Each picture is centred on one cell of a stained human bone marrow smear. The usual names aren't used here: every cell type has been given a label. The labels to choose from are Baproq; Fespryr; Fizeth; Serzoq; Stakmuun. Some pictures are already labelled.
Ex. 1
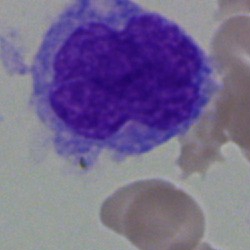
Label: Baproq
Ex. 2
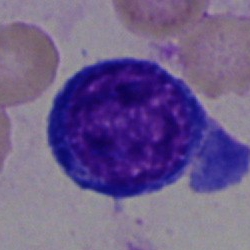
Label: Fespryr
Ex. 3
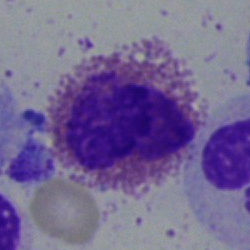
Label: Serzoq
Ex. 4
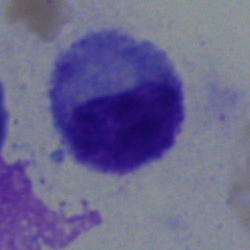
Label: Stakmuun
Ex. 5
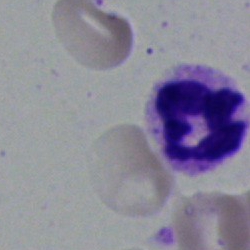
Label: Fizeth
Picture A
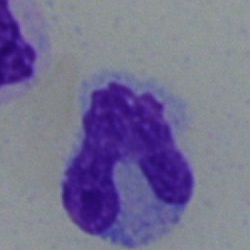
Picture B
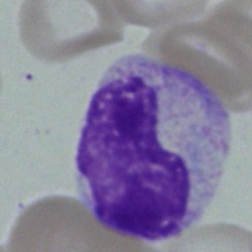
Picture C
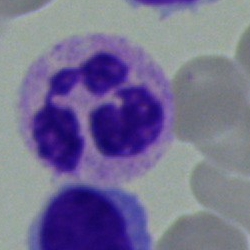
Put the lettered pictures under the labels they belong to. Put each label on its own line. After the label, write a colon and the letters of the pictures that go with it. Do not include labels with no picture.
Baproq: A
Fizeth: C
Stakmuun: B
